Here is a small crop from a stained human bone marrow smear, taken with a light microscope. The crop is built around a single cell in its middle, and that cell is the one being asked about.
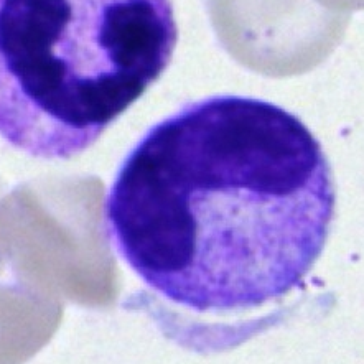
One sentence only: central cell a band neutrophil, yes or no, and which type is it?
Yes, the cell of interest in the middle is a band neutrophil.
